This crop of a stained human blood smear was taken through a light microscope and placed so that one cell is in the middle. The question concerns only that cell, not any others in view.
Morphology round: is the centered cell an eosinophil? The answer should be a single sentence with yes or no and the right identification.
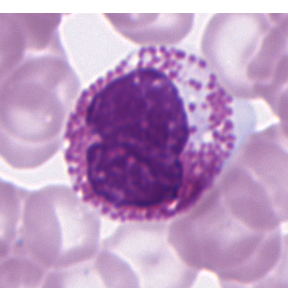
Yes, the cell sitting in the center is an eosinophil.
